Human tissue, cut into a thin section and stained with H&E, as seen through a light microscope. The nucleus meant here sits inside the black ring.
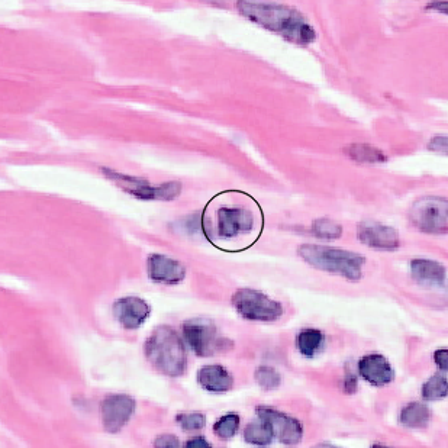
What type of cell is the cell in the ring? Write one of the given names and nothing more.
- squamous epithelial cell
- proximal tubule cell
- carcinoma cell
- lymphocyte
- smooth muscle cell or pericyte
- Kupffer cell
lymphocyte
